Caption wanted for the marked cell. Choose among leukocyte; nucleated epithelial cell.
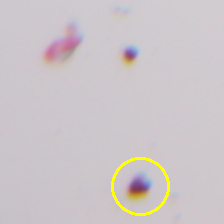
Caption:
Ringed in yellow is a leukocyte.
